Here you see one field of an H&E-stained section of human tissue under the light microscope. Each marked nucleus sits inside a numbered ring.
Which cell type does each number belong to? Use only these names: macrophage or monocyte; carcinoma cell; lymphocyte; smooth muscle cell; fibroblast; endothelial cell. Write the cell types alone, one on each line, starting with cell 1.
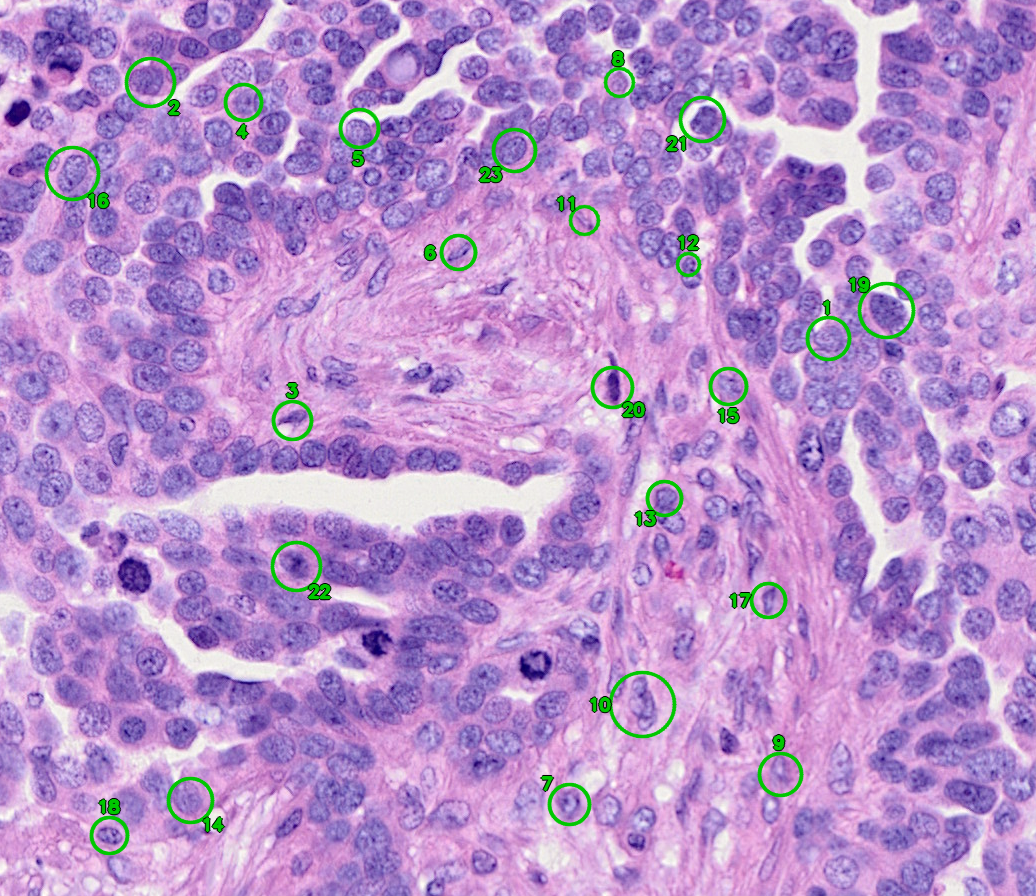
carcinoma cell
carcinoma cell
fibroblast
carcinoma cell
carcinoma cell
fibroblast
fibroblast
carcinoma cell
fibroblast
fibroblast
fibroblast
macrophage or monocyte
endothelial cell
carcinoma cell
fibroblast
carcinoma cell
fibroblast
macrophage or monocyte
carcinoma cell
macrophage or monocyte
carcinoma cell
macrophage or monocyte
carcinoma cell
